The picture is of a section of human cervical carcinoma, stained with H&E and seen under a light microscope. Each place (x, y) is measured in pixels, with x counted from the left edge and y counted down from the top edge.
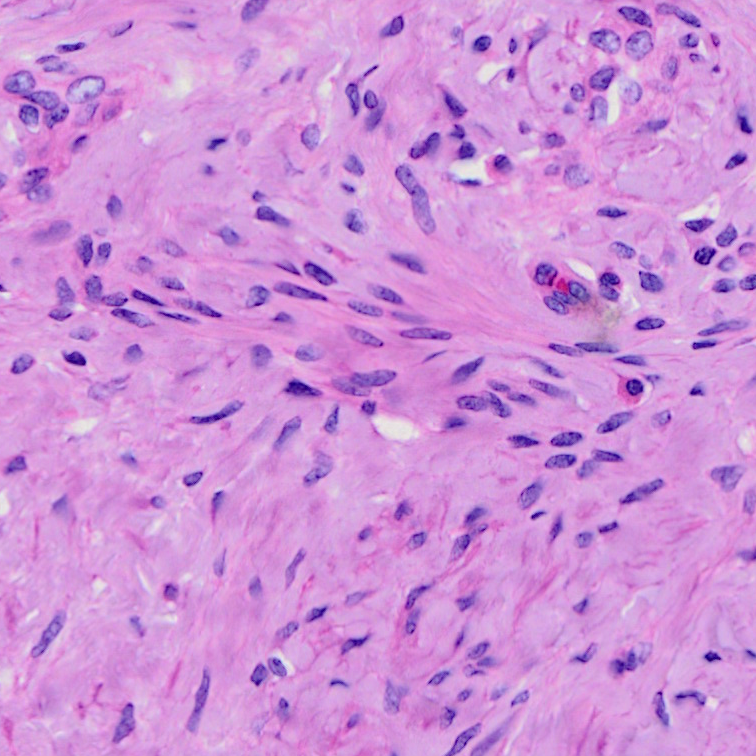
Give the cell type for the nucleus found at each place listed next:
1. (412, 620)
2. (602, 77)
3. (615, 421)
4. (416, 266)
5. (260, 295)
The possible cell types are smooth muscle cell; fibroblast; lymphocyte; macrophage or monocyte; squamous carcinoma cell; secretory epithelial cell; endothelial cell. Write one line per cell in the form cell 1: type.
cell 1: smooth muscle cell
cell 2: endothelial cell
cell 3: fibroblast
cell 4: fibroblast
cell 5: fibroblast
